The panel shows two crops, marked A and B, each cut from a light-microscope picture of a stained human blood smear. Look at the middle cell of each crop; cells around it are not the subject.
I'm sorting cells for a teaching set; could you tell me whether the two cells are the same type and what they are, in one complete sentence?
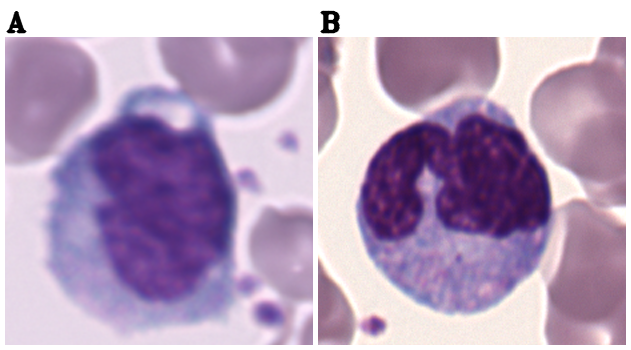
Yes, both crops depict monocytes at the centre.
